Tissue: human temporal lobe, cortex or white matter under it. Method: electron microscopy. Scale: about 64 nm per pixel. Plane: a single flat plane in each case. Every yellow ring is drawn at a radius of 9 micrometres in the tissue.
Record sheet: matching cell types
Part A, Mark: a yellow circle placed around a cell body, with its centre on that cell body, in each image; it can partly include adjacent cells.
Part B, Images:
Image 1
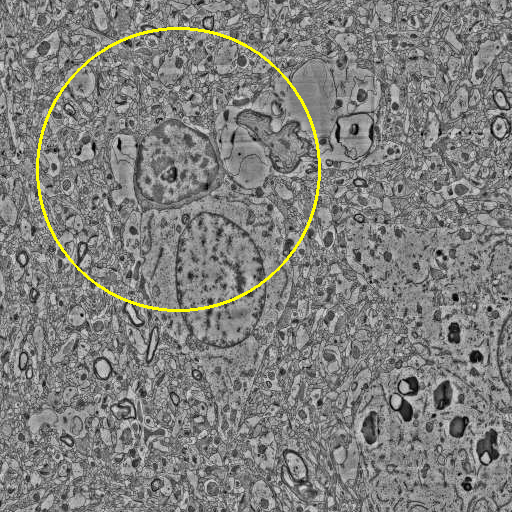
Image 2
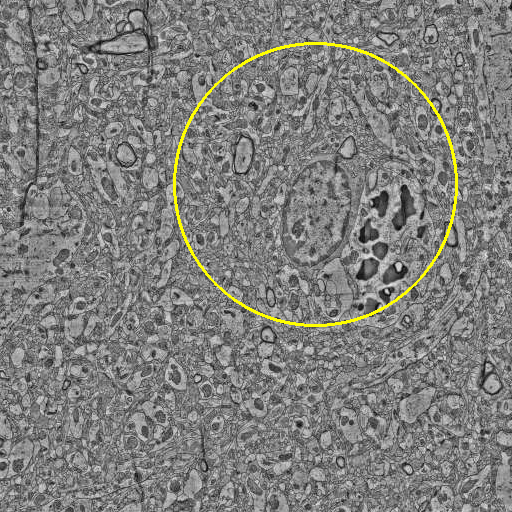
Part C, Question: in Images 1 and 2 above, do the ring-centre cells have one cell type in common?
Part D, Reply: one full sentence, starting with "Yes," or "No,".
Yes, the ring-centre cells of Image 1 and Image 2 are both of a single cell type.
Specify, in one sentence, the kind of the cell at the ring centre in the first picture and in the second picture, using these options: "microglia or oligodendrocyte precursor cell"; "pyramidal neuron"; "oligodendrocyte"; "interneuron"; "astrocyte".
Both rings mark an oligodendrocyte, one in each picture.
